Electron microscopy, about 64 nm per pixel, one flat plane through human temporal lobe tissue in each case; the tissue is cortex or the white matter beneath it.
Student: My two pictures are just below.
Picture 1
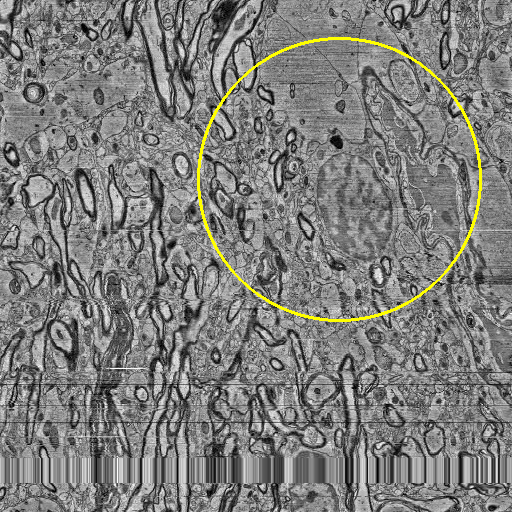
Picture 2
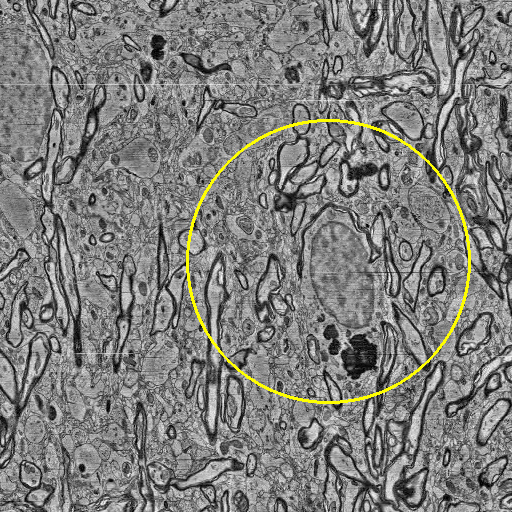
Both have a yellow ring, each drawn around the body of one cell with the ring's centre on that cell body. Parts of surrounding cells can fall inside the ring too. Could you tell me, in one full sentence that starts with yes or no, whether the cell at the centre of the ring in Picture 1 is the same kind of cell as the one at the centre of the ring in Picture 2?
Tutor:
Yes, the two cells are of the same kind.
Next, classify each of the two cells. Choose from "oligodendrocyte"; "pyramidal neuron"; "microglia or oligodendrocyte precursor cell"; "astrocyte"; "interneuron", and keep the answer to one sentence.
Each of the ringed cells, first and second, is an oligodendrocyte.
